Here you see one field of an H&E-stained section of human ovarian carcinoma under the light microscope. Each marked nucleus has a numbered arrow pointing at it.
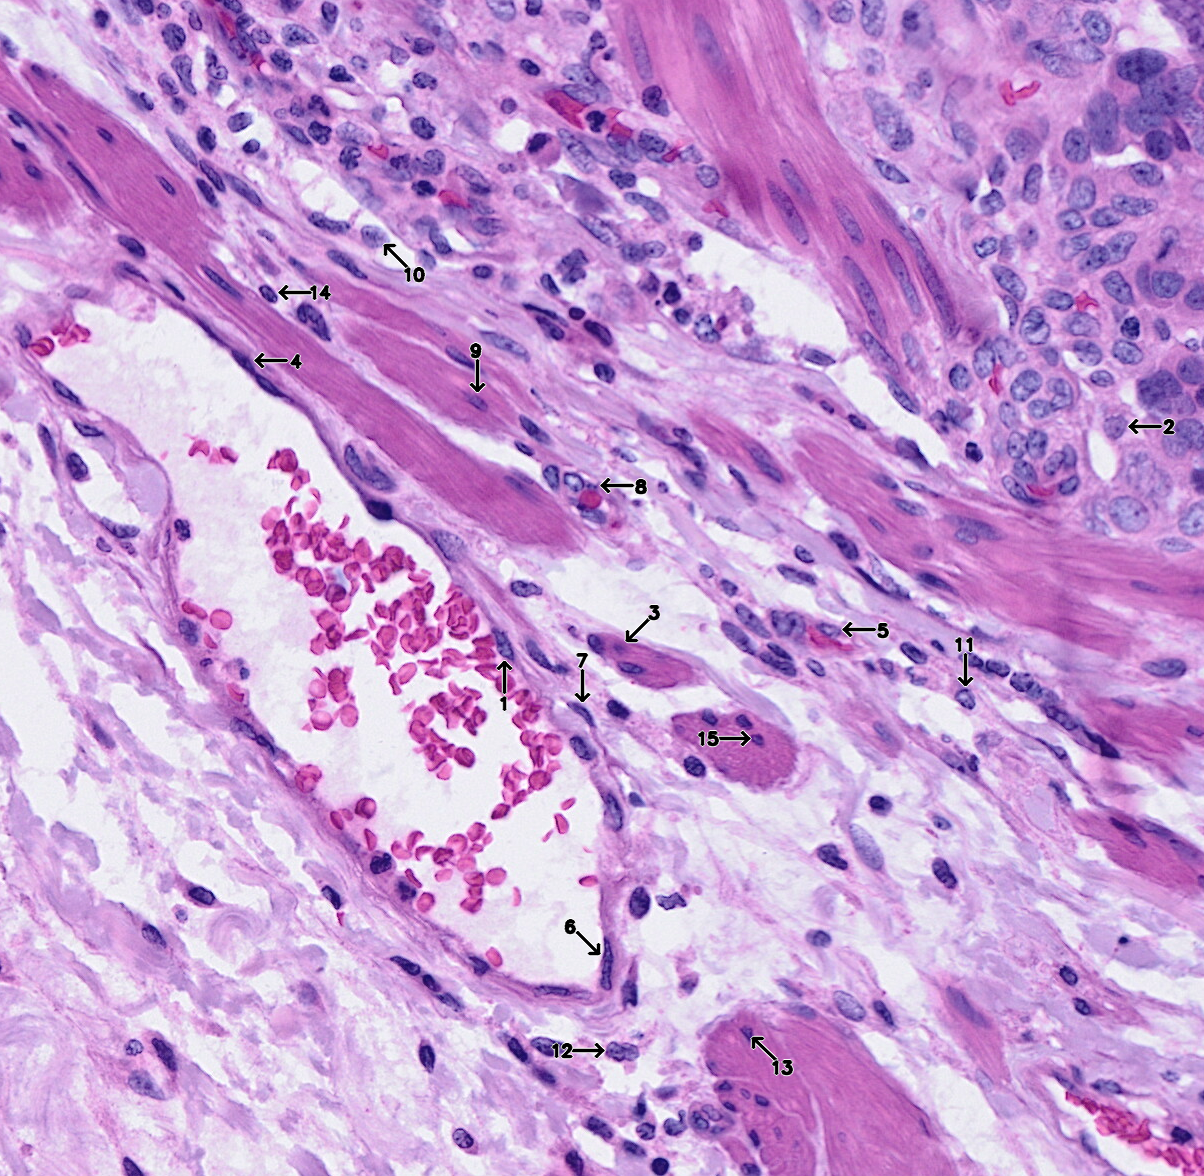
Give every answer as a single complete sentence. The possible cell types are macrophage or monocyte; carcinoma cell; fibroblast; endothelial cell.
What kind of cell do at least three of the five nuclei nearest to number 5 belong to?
Of the five nuclei nearest to number 5, most belong to macrophages or monocytes.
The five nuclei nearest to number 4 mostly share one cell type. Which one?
The majority of the five nuclei closest to number 4 belong to endothelial cells.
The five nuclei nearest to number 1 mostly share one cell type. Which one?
Most of the five nuclei nearest to number 1 are those of macrophages or monocytes.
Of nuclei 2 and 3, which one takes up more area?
Number 2 is larger; its area is about 2.5 times that of number 3.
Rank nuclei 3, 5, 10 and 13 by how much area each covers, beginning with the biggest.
From largest to smallest, the order is 10, 5, 3, 13.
